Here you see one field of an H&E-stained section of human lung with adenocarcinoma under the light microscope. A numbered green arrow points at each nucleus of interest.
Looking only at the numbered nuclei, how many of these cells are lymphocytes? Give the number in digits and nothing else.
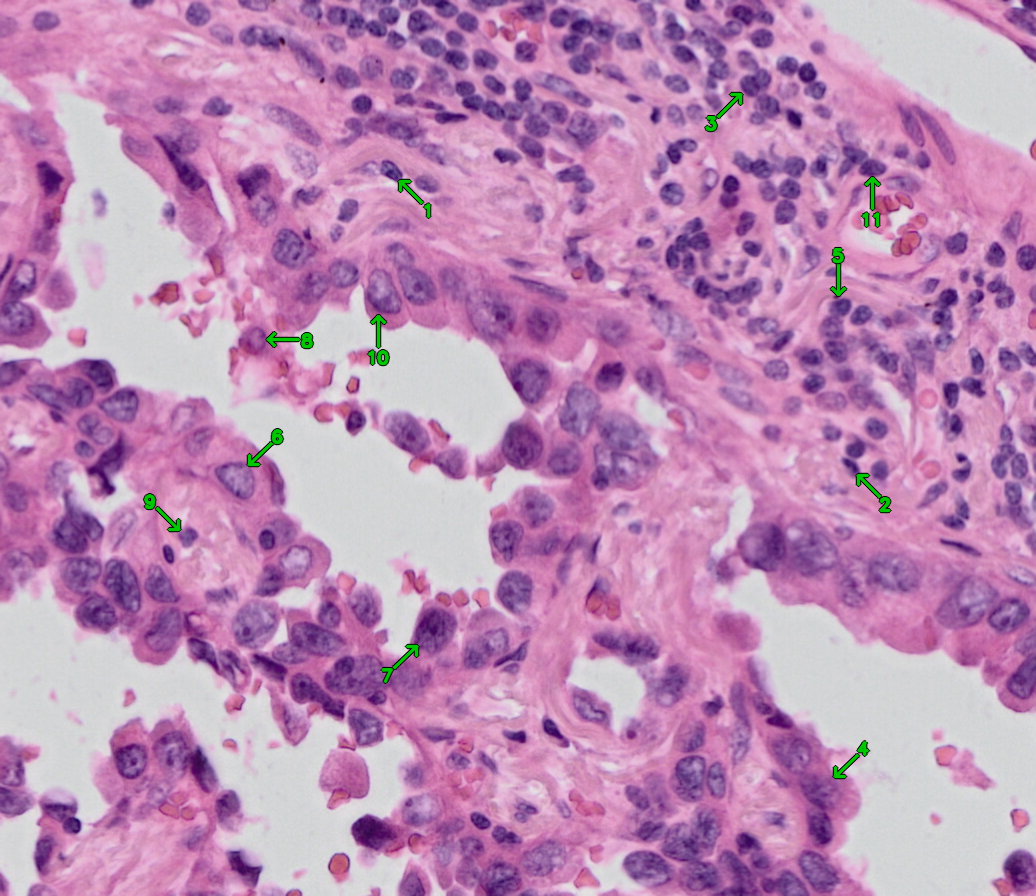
6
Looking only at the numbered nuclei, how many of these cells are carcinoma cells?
4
